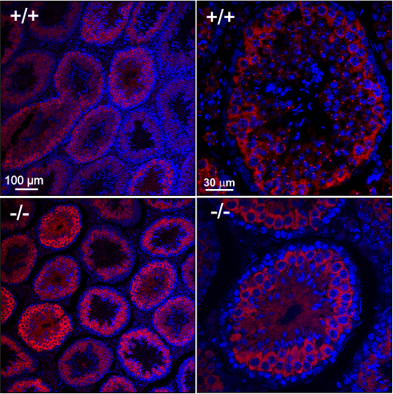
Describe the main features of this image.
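These are cross-sections of testis tubules, each lined by a thick, several-cells-deep epithelium around a central lumen. Blue nuclei are found throughout the tubule walls and in the narrow spaces between the tubules. The red signal lies in the cytoplasm of cells in a broad ring within each tubule, while the outermost cell layer and the spaces between tubules are mostly blue only. In the higher-magnification views of single tubules, the red signal forms a rim around many round blue nuclei of large rounded cells in the middle layers of the epithelium.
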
